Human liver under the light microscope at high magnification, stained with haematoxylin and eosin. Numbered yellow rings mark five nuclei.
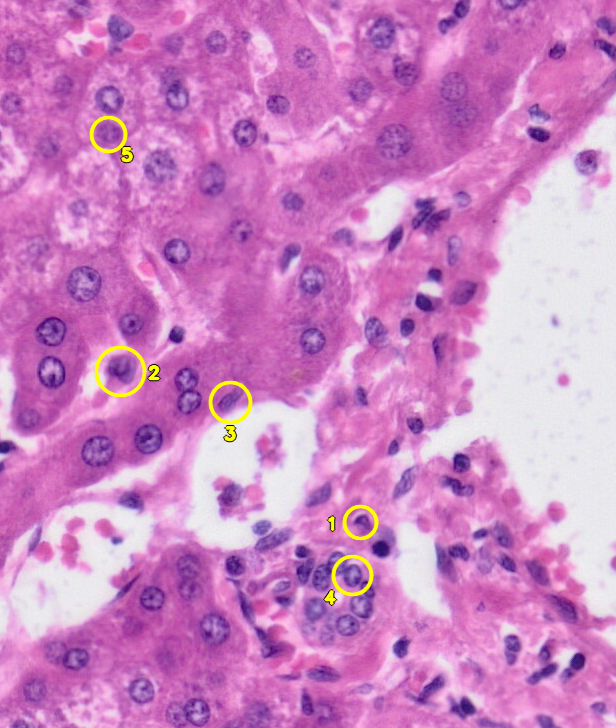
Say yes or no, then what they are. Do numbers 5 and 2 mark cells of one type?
No, whereas cell 2 is a Kupffer cell, cell 5 is a hepatocyte.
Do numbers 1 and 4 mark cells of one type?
No, cell 1 is classed as a fibroblast or stellate cell and cell 4 as a cholangiocyte.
